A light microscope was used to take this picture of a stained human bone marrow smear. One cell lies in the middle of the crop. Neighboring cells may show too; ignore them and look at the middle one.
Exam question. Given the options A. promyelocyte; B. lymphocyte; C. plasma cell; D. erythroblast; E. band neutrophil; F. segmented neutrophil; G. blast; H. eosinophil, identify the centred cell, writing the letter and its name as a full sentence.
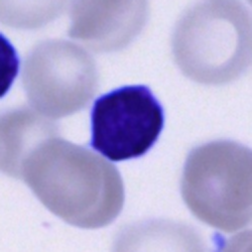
Of the choices given, option B is right, as the central cell is a lymphocyte.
